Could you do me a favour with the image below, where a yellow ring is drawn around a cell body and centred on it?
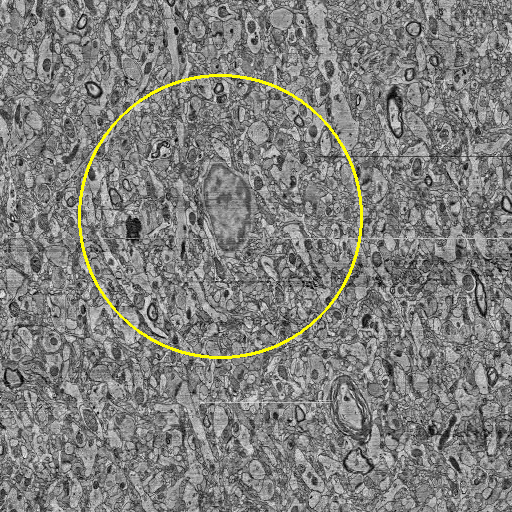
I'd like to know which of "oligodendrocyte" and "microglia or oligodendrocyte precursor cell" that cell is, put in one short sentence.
The cell at the ring's centre is an oligodendrocyte.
